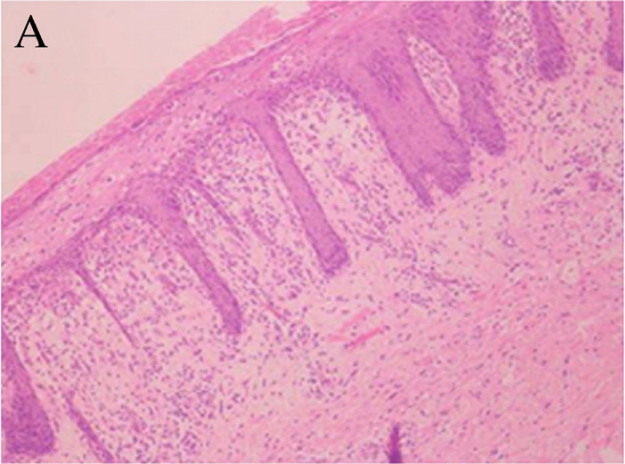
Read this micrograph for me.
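A strip of skin in which the epidermis sends long, slender, evenly spaced rete ridges down into the dermis, giving a regular comb-like profile. A compact pink layer covers the surface. The dermal papillae between the ridges look pale and loose, and they are crowded with small dark nuclei of inflammatory cells. More inflammatory cells are scattered through the upper dermis below the ridges, among pink collagen. This regular elongation of the ridges with inflamed papillae is a psoriasiform pattern of inflammation.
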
